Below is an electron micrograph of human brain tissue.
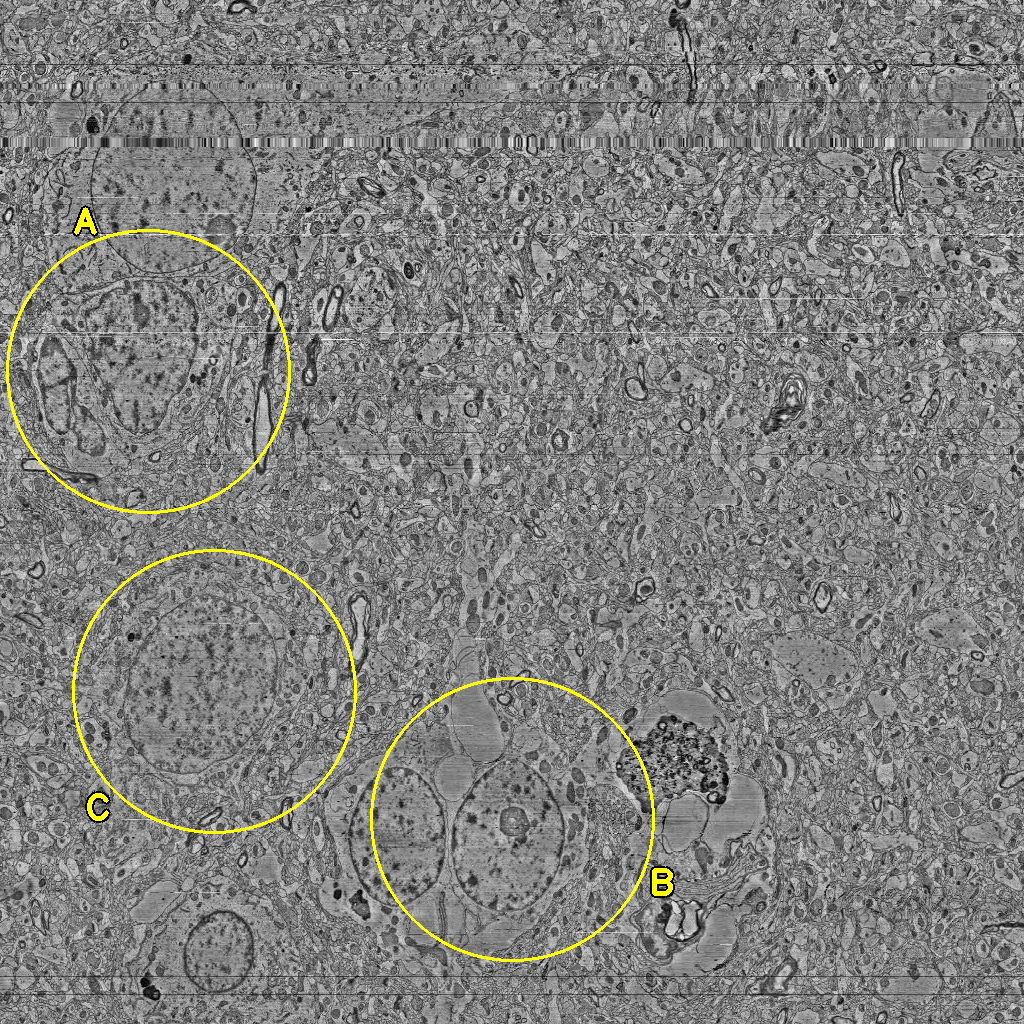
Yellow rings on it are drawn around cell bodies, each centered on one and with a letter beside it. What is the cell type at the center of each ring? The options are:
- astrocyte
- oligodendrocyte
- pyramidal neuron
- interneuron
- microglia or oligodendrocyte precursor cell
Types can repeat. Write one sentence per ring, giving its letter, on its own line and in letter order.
At the center of ring A is an interneuron.
At the center of ring B is an astrocyte.
At the center of ring C is an interneuron.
